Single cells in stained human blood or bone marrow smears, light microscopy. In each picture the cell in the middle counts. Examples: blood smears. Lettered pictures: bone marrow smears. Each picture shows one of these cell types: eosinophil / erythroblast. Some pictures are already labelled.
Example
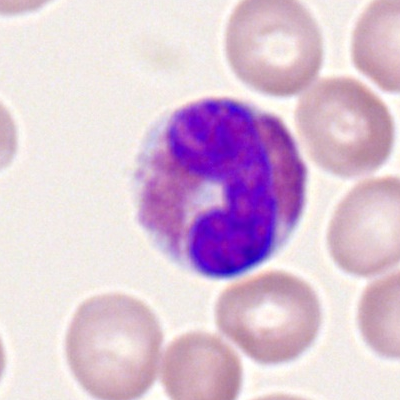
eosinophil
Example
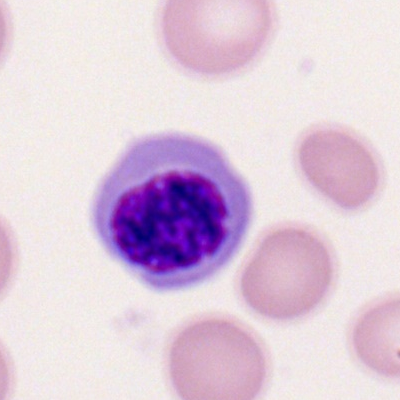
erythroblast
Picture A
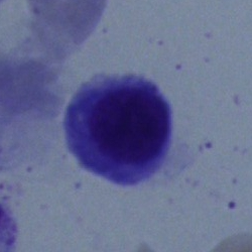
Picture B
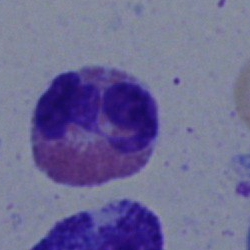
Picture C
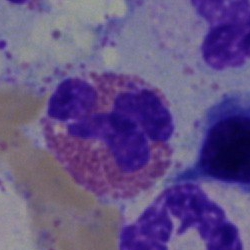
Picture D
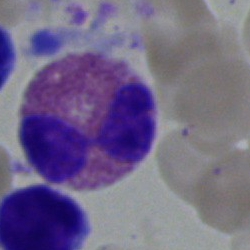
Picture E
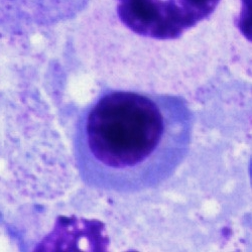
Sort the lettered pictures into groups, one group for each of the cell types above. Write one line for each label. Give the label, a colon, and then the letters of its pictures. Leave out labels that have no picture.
eosinophil: B, C, D
erythroblast: A, E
